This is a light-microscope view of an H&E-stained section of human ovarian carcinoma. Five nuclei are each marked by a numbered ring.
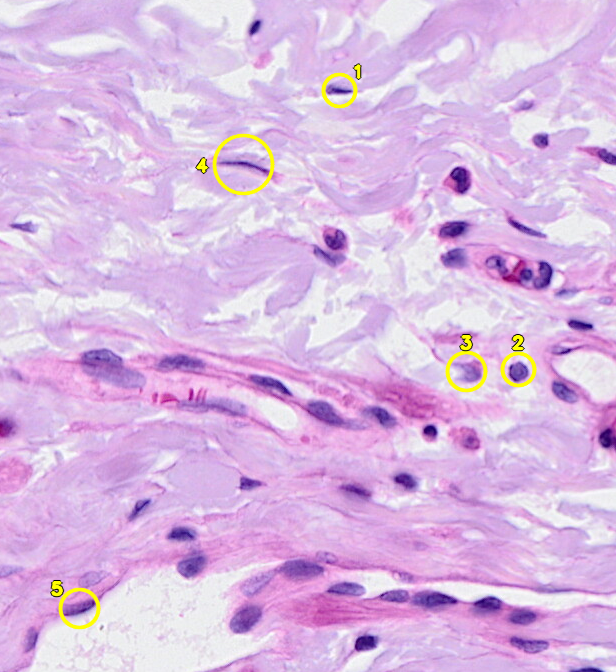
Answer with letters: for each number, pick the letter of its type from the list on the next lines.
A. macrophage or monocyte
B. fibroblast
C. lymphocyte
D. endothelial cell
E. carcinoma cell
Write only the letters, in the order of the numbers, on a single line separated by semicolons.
B; C; B; B; D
